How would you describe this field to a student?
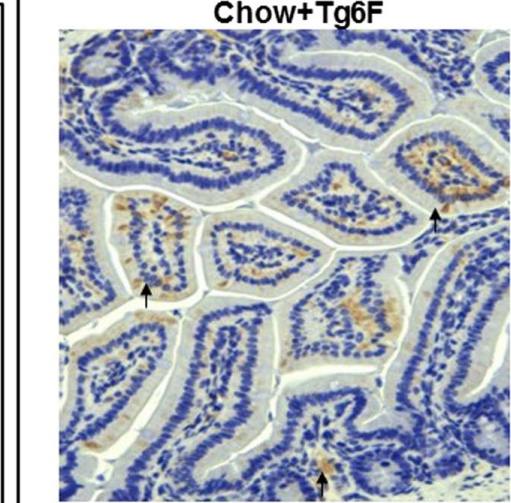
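This is a section of small intestinal mucosa showing villi cut in various planes, closely packed with narrow clear spaces between them. Each villus is lined by a single layer of columnar epithelial cells with elongated blue nuclei arranged in a row, surrounding a core of connective tissue holding scattered round nuclei. Brown staining is light and patchy, appearing as small brown spots and faint tinges within the epithelium and villus cores rather than broad coats. Black arrows point to a few of these small brown areas. The spaces between the villi are largely clear of stained material.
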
